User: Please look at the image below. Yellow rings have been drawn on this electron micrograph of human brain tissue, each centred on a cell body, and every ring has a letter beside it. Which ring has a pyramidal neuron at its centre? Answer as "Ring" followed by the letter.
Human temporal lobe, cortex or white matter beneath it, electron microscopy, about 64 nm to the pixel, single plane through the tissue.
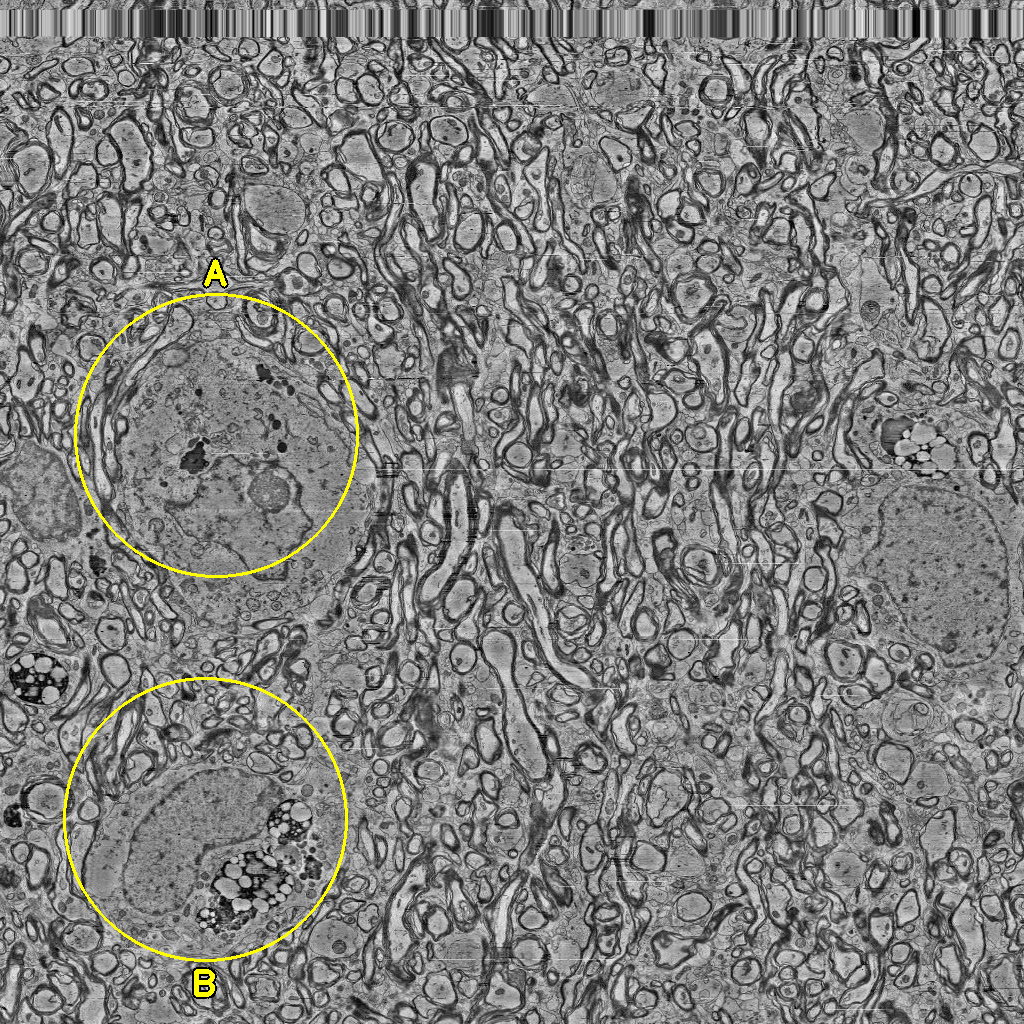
Ring A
